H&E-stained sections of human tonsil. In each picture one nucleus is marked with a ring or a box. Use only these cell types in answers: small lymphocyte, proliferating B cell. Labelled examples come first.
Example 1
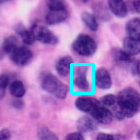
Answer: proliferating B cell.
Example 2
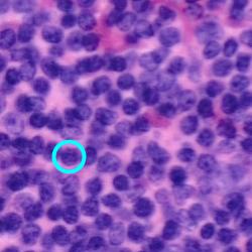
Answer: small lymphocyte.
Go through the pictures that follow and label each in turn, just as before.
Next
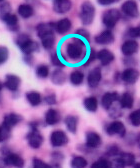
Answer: small lymphocyte.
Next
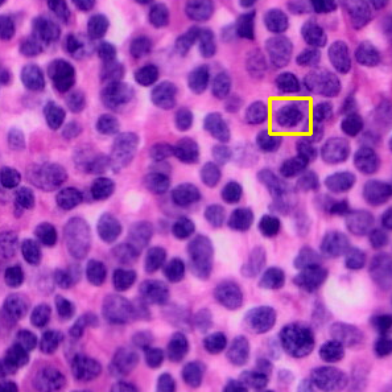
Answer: small lymphocyte.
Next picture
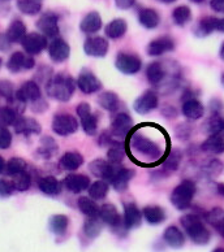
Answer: small lymphocyte.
